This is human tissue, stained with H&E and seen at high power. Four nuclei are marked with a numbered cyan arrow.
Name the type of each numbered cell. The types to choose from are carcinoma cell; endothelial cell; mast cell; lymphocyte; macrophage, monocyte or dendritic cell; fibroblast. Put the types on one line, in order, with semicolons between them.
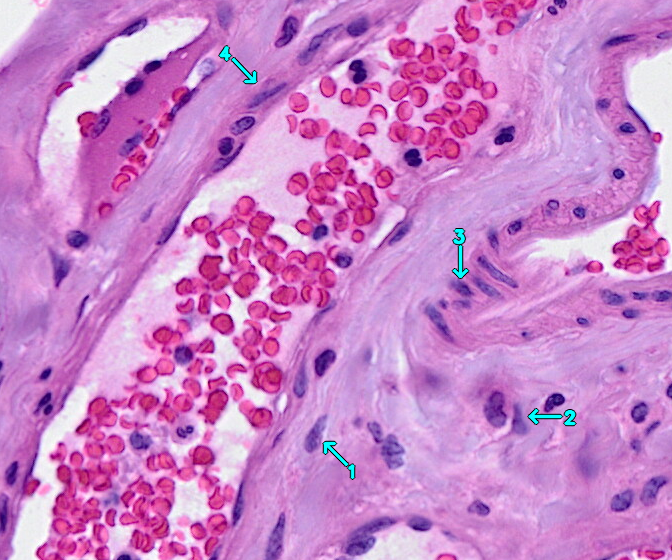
fibroblast; fibroblast; endothelial cell; endothelial cell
